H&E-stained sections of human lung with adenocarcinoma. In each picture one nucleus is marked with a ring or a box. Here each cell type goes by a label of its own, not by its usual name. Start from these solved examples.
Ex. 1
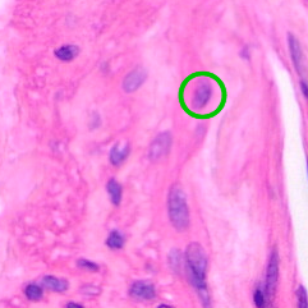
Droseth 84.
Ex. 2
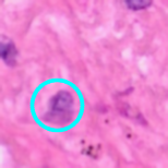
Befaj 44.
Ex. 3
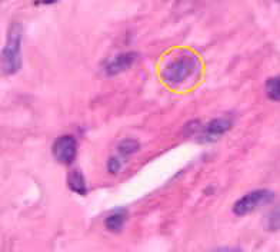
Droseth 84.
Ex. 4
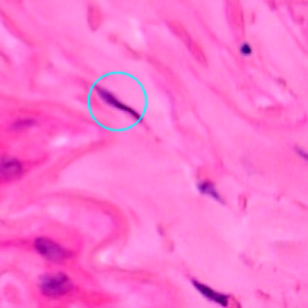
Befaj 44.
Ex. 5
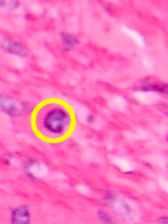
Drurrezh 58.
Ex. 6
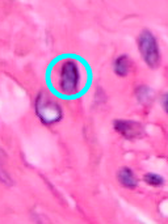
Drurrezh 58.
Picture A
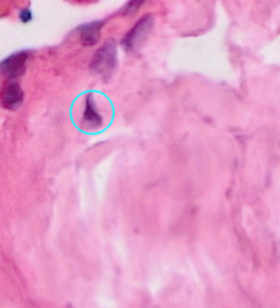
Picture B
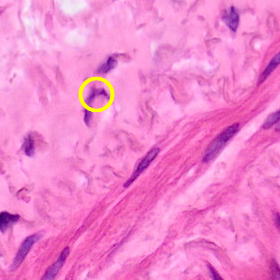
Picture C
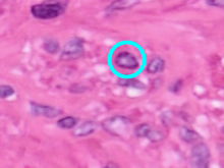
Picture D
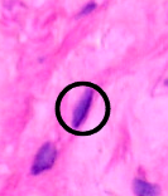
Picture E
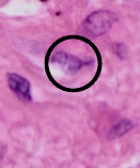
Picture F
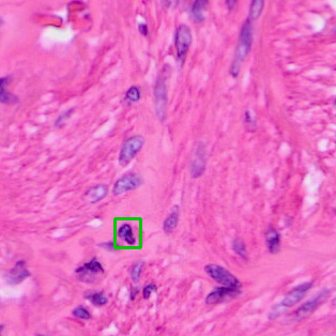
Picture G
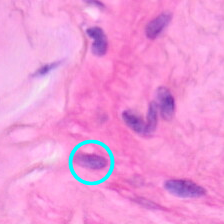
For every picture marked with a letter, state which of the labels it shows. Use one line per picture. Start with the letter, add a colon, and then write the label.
A: Befaj 44.
B: Befaj 44.
C: Drurrezh 58.
D: Droseth 84.
E: Befaj 44.
F: Drurrezh 58.
G: Droseth 84.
